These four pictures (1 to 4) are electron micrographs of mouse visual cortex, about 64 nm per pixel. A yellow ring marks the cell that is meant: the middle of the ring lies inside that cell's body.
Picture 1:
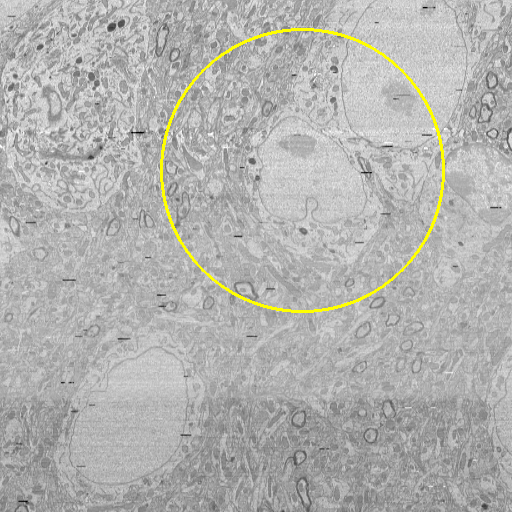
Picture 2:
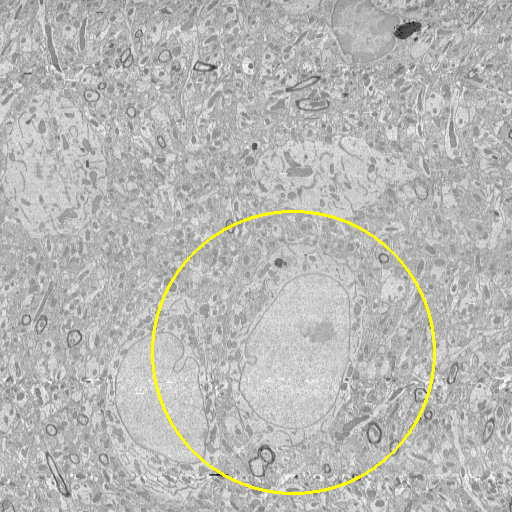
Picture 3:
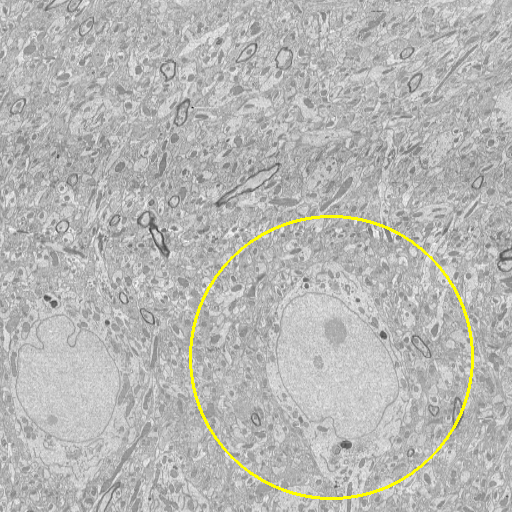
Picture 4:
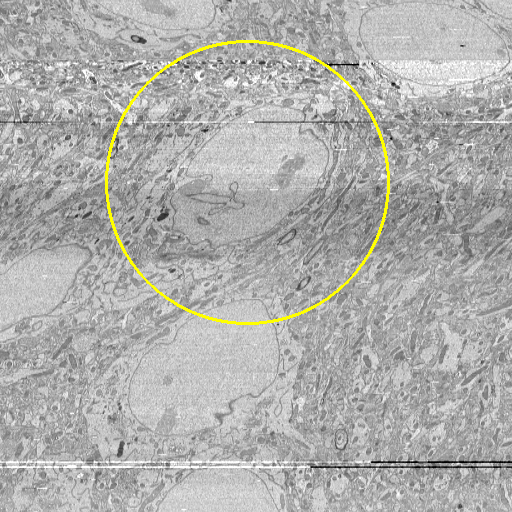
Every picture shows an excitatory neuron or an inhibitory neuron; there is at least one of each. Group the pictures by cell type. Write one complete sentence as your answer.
Pictures 1, 2 and 3 show excitatory neurons; picture 4 shows an inhibitory neuron.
